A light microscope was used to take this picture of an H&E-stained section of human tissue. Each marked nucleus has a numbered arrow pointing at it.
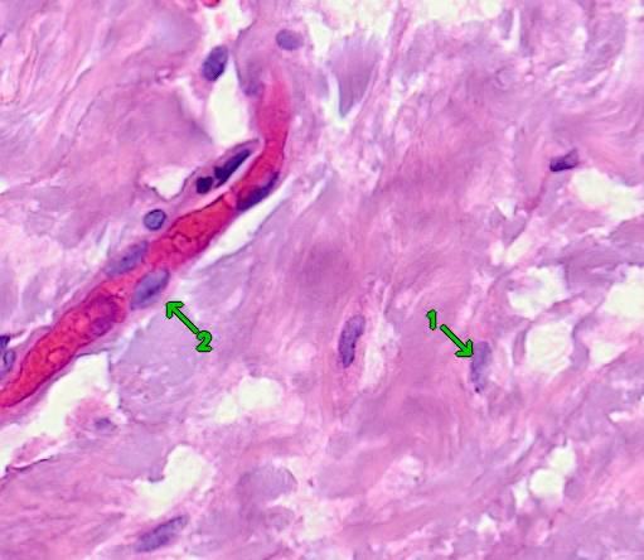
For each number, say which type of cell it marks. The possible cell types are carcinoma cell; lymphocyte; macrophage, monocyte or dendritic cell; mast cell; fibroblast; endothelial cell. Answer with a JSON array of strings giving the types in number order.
["fibroblast", "endothelial cell"]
